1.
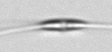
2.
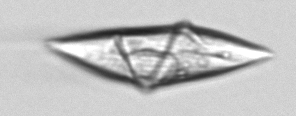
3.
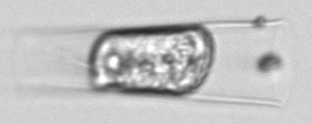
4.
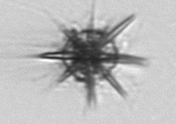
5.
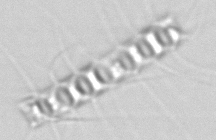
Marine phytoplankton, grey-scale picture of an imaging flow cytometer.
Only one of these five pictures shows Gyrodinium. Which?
Picture 2.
